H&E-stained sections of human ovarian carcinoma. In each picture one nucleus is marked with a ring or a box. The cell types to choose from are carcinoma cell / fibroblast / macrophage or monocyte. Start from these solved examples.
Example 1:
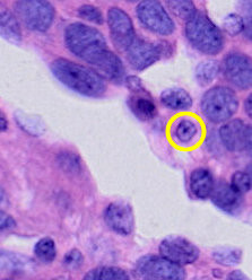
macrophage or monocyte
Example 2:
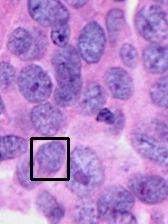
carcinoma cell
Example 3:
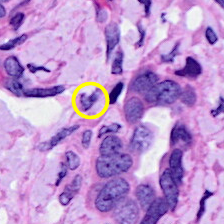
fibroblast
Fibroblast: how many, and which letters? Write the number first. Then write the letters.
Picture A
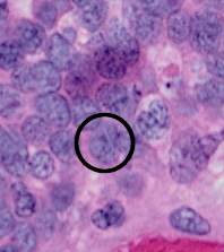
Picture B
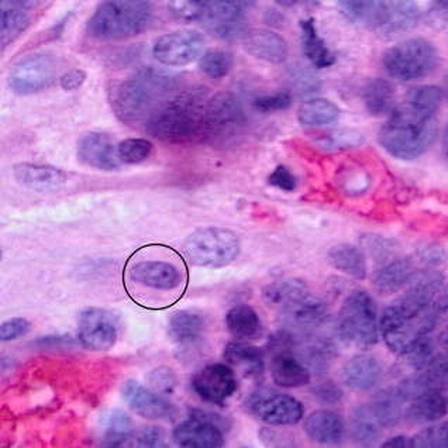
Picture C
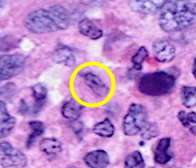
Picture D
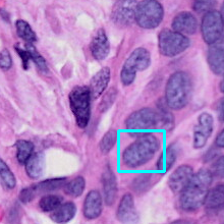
0, none of them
